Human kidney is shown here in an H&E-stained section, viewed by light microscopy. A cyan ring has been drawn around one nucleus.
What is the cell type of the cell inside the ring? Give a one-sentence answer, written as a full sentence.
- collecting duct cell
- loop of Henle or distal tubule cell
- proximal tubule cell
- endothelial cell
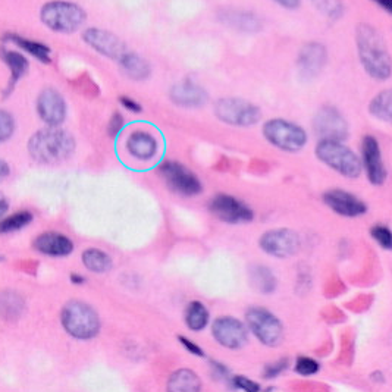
In short, the cell inside the ring on this section is a collecting duct cell.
